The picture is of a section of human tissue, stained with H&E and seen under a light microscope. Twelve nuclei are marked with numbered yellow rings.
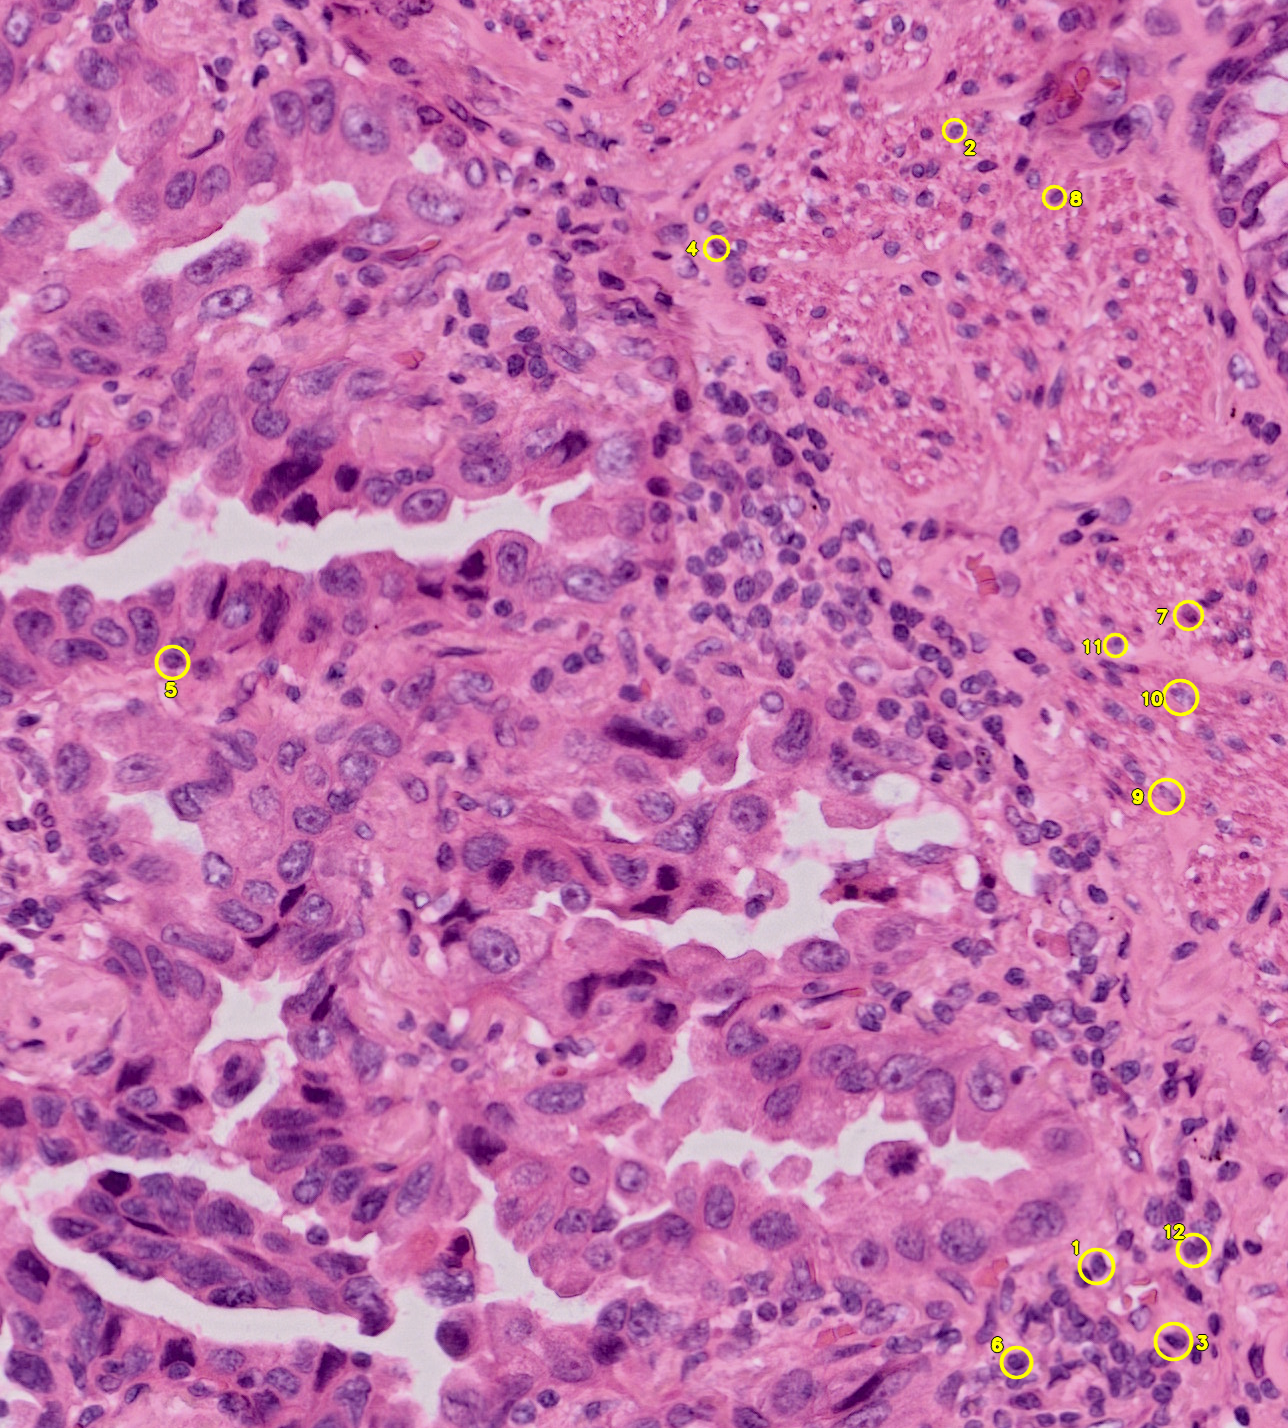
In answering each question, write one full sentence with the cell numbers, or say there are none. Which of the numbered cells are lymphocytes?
Within the section, cells numbered 1, 3, 5, 6 and 12 are lymphocytes.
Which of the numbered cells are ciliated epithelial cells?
Among the cells with numbered nuclei there are no ciliated epithelial cells.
